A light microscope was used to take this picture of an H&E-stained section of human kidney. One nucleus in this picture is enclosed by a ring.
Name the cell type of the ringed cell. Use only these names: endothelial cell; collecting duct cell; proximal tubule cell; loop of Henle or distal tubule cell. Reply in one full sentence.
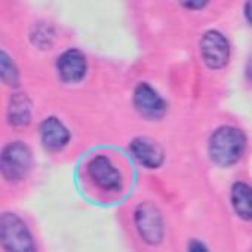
In this field of tissue, the ringed cell is a loop of Henle or distal tubule cell.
